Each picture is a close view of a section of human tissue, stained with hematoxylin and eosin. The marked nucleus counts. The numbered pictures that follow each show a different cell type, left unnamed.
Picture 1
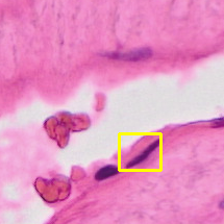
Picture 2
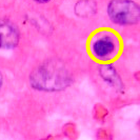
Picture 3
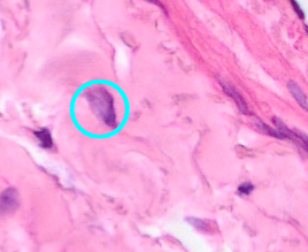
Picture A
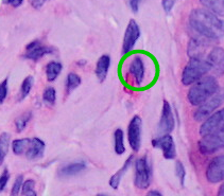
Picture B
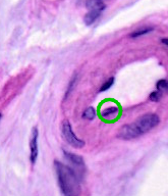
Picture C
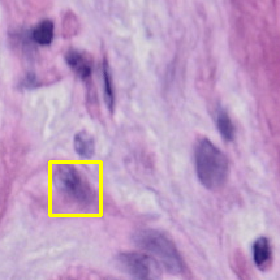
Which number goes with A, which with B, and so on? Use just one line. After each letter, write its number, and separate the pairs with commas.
A 1, B 1, C 1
